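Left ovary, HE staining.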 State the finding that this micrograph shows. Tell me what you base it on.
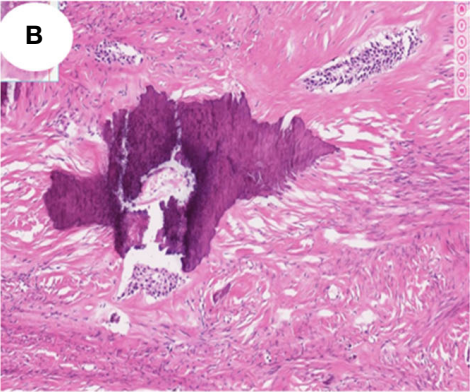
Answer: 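A large irregular dark purple deposit lies in the stroma. The deposit is acellular and fissured. Pink fibrous stroma surrounds it, with small cell nests nearby.
Conclusion: calcification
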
